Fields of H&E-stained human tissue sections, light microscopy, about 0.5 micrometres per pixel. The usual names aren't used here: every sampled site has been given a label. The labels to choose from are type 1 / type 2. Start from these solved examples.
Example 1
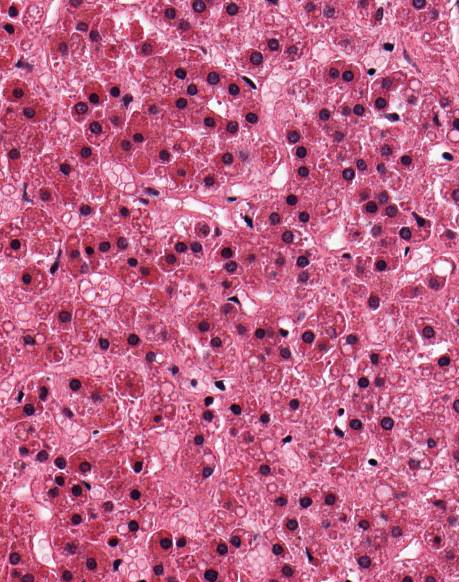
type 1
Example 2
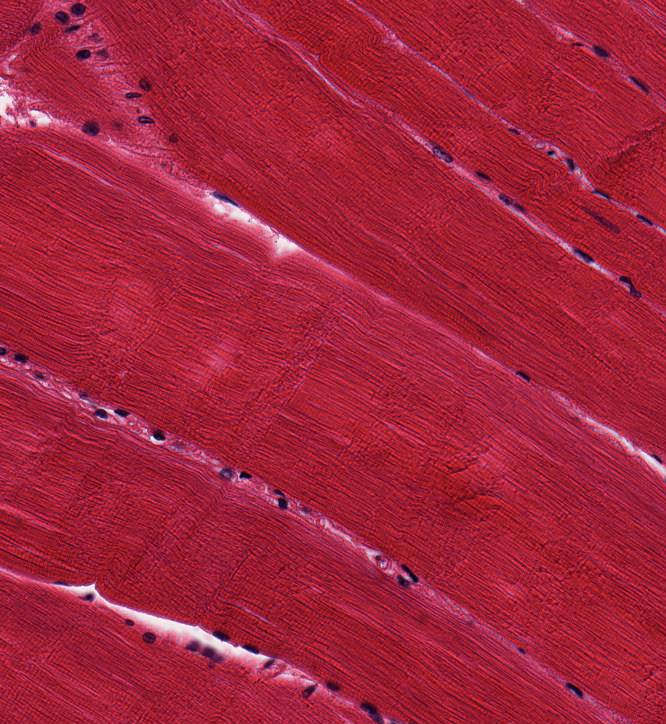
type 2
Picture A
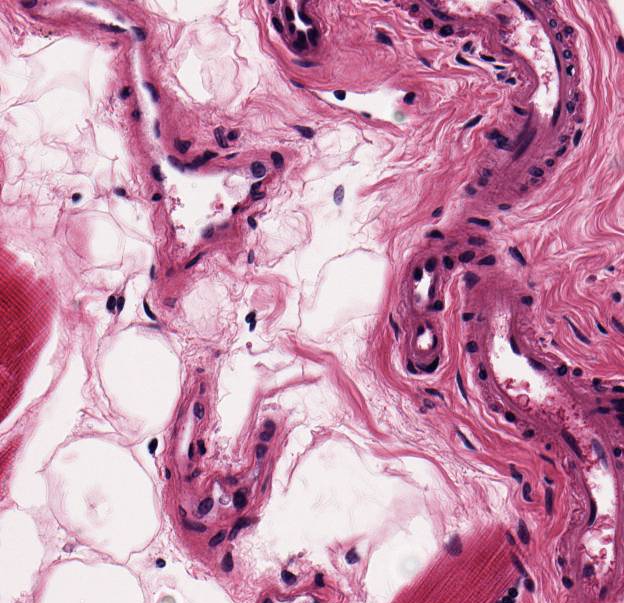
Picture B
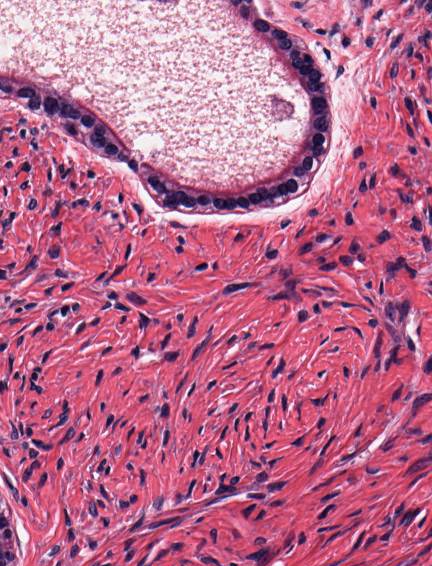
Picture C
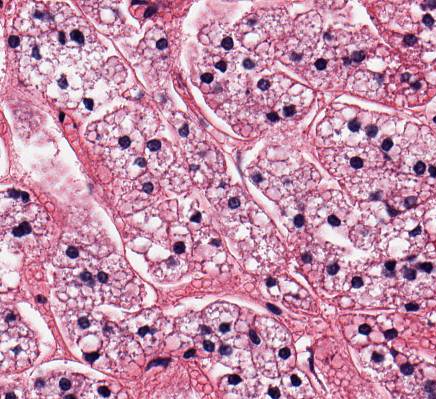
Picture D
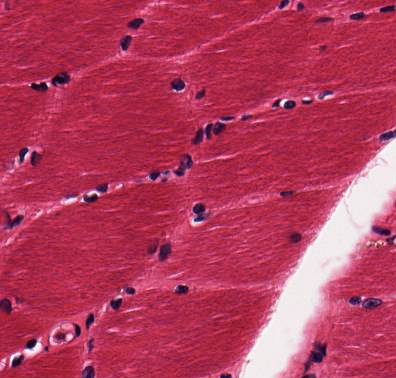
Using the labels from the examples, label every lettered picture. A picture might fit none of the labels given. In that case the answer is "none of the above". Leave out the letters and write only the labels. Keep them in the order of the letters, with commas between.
type 2, none of the above, type 1, type 2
